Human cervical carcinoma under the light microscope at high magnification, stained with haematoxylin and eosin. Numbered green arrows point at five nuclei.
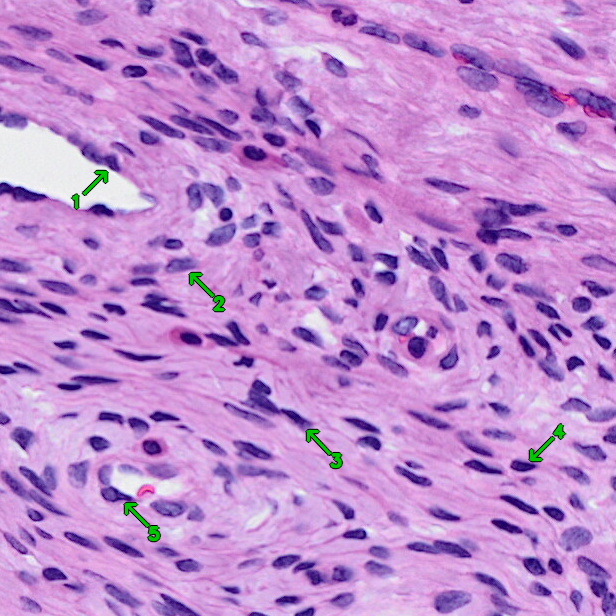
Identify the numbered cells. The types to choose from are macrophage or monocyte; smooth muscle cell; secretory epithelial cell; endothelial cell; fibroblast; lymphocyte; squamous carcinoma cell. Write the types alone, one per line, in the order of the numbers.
endothelial cell
fibroblast
fibroblast
fibroblast
endothelial cell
